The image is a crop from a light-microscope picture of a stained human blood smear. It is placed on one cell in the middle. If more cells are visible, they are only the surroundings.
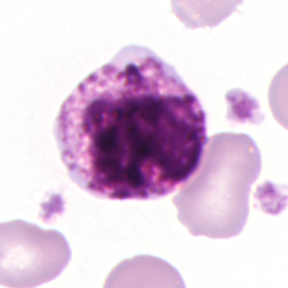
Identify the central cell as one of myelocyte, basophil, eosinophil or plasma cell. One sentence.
This particular crop is centered on a basophil.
